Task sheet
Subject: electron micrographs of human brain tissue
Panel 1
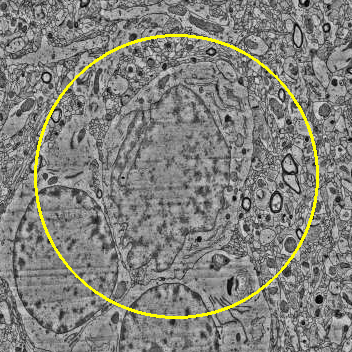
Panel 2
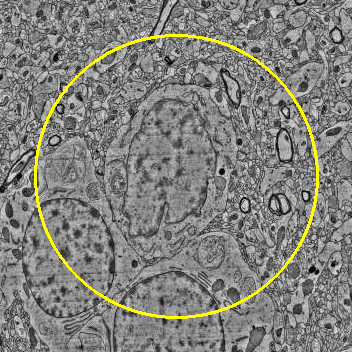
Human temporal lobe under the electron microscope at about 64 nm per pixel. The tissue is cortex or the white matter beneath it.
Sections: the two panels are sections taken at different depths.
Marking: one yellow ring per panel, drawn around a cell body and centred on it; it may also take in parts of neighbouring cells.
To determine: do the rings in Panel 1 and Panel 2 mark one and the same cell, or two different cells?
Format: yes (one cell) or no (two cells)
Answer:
yes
